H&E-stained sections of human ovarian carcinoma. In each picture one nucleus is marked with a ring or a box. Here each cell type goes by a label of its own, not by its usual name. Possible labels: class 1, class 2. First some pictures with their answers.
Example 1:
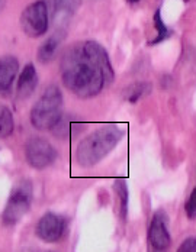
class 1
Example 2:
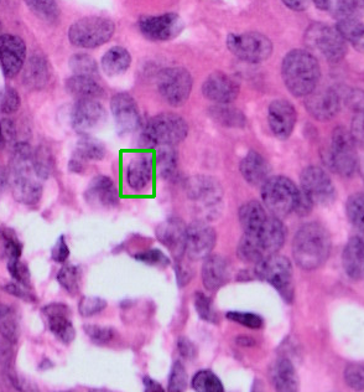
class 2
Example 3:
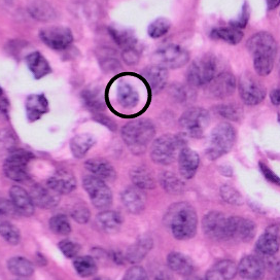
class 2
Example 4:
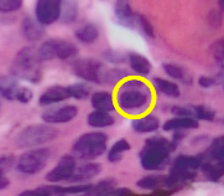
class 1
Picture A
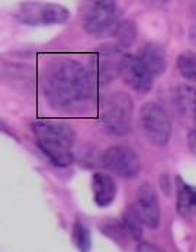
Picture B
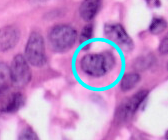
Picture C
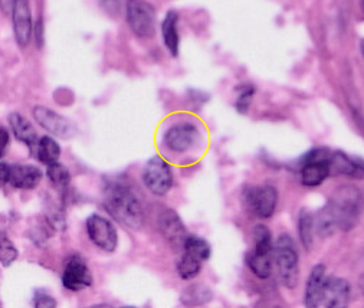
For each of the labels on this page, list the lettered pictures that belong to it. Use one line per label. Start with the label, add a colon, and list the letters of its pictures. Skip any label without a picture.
class 1: A
class 2: B, C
